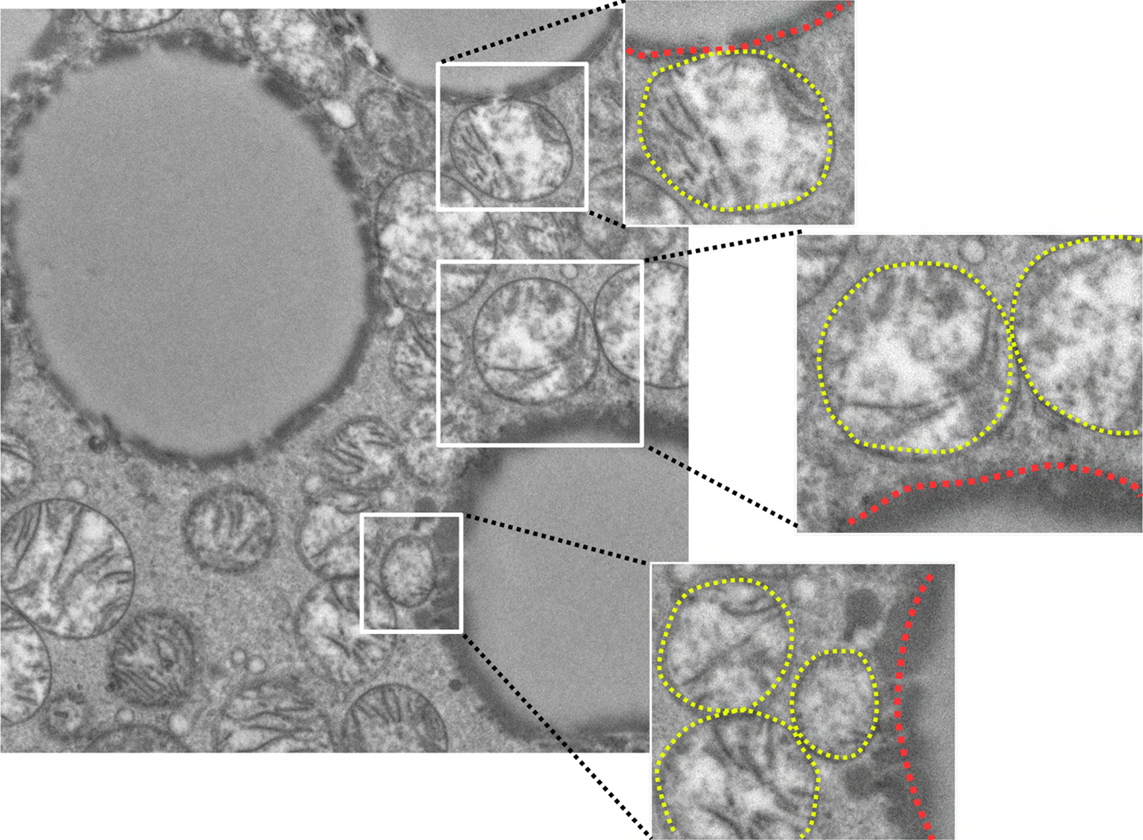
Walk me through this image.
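Part of a brown fat cell is seen, with large round, homogeneous grey lipid droplets and many mitochondria in the surrounding cytoplasm. In the enlarged views the mitochondria are rounded, double-membraned bodies with folded cristae, several lying beside the edges of lipid droplets.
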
